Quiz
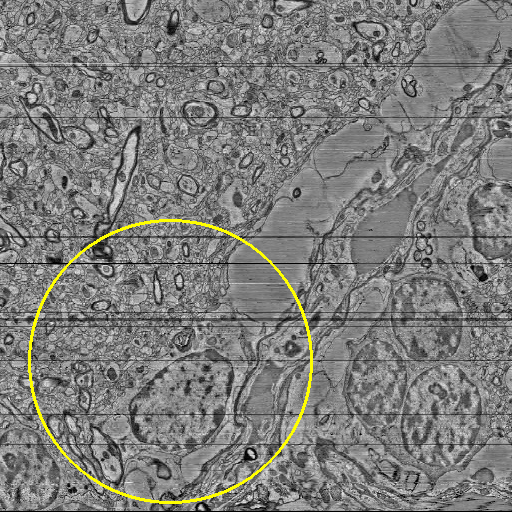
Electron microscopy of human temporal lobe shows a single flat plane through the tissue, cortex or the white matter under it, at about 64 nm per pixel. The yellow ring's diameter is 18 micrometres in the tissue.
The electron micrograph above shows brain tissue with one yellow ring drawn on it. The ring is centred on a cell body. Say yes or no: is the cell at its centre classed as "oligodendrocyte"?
no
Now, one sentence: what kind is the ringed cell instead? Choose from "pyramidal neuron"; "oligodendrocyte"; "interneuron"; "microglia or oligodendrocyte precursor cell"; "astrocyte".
The cell at the middle of the ring is a microglial cell or oligodendrocyte precursor cell.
